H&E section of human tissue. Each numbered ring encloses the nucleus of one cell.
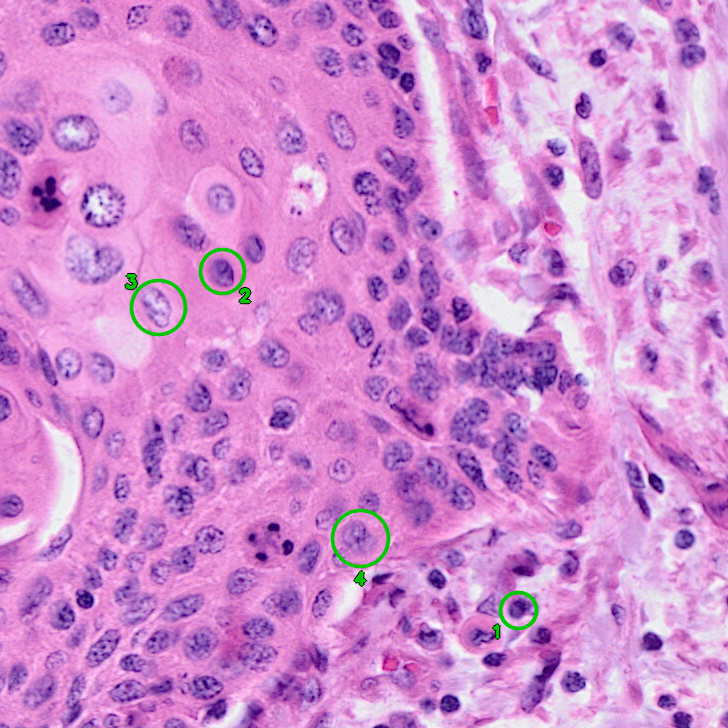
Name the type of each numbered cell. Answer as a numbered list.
1. lymphocyte
2. squamous carcinoma cell
3. squamous carcinoma cell
4. squamous carcinoma cell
